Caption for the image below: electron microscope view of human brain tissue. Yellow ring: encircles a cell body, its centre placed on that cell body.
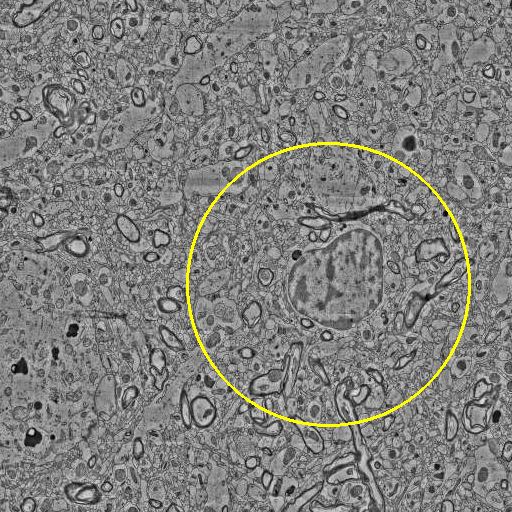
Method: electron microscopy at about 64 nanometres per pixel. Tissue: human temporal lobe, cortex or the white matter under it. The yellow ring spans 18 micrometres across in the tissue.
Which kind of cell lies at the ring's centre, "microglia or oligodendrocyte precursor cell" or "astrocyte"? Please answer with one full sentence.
The picture shows a microglial cell or oligodendrocyte precursor cell at the centre of the yellow ring.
